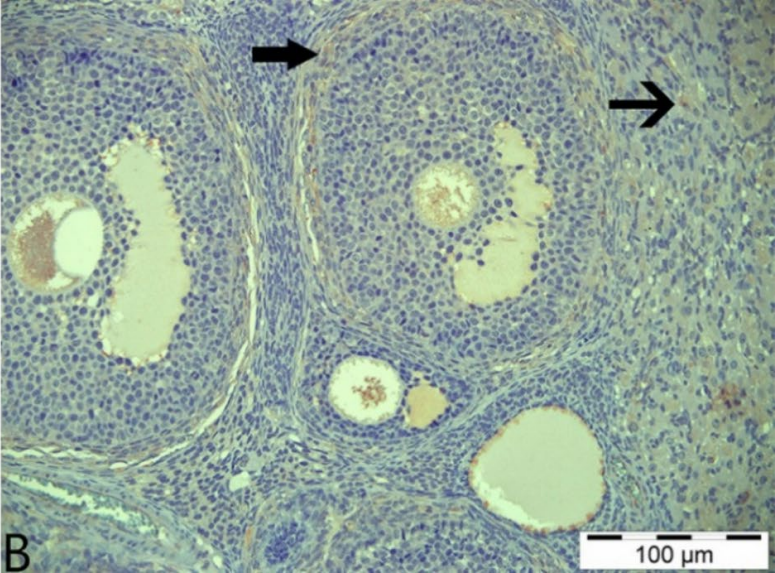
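This is ovarian tissue with several follicles and, at the right, part of a mass of luteal cells. The follicles are lined by many layers of small granulosa cells with round blue nuclei, enclosing irregular fluid-filled cavities. Each follicle is wrapped by a thin rim of flattened theca cells, separated from its neighbours by bands of spindle-shaped stromal cells. The luteal cells at the right are larger and paler, with round nuclei. Overall the brown colour is faint, and blue counterstain dominates the picture.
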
